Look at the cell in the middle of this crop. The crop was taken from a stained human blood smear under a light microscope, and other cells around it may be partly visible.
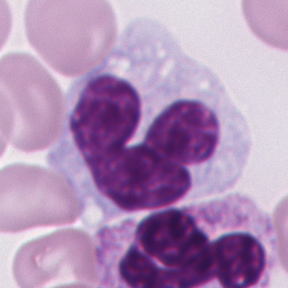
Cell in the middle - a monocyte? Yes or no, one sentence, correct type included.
Yes, the central cell of this crop corresponds to a monocyte.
